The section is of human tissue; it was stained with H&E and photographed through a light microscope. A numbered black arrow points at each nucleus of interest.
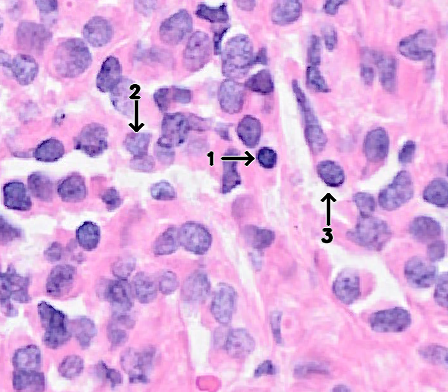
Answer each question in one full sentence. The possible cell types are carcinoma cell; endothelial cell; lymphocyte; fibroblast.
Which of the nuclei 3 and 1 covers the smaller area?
Number 1 is smaller, since number 3 takes up about 1.5 times as much area.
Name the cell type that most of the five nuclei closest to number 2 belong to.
The majority of the five nuclei closest to number 2 belong to carcinoma cells.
